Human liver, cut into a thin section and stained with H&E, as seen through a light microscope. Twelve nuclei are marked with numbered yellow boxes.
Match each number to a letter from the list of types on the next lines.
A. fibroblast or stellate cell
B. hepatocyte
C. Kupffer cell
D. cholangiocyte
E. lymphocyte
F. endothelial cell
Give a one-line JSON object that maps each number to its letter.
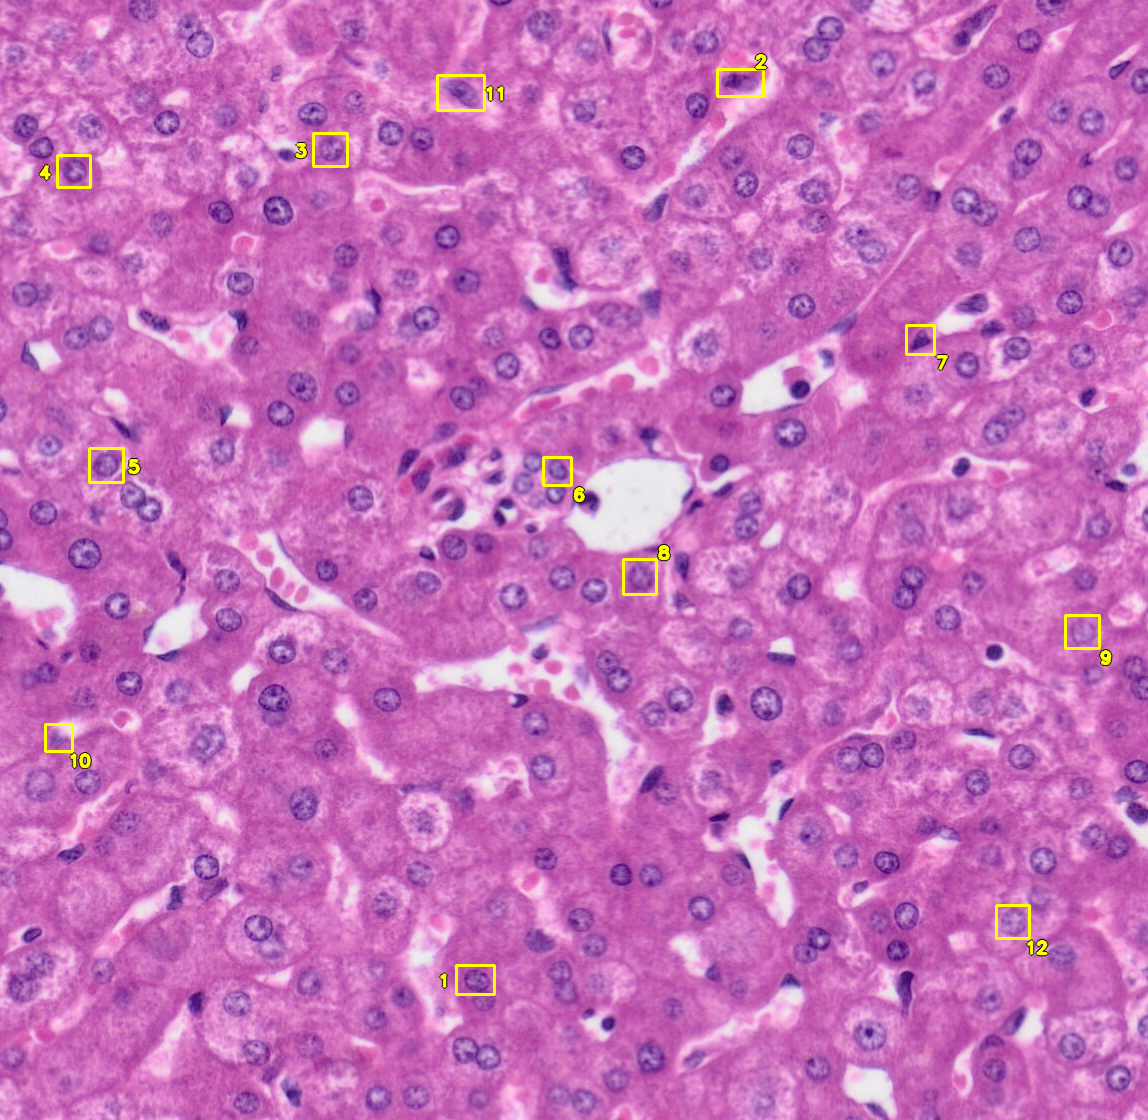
{"1": "B", "2": "C", "3": "B", "4": "B", "5": "B", "6": "D", "7": "A", "8": "B", "9": "B", "10": "F", "11": "C", "12": "B"}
